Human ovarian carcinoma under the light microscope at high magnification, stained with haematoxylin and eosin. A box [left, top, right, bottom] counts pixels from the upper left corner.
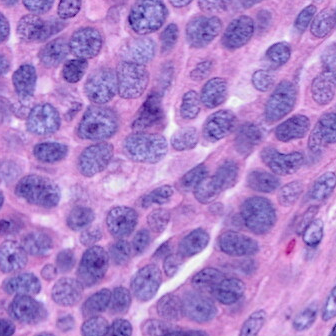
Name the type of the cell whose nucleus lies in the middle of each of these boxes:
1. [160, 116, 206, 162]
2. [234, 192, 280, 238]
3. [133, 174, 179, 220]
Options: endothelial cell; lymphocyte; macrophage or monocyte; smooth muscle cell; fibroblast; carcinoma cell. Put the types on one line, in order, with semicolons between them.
carcinoma cell; carcinoma cell; macrophage or monocyte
